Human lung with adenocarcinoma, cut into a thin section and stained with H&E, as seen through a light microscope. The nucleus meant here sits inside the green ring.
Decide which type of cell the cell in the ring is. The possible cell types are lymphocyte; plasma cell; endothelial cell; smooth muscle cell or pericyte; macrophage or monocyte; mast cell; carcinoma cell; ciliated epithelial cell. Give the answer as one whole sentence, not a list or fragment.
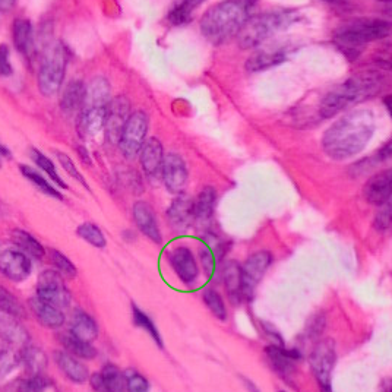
Students should answer that the cell in the ring is a ciliated epithelial cell.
